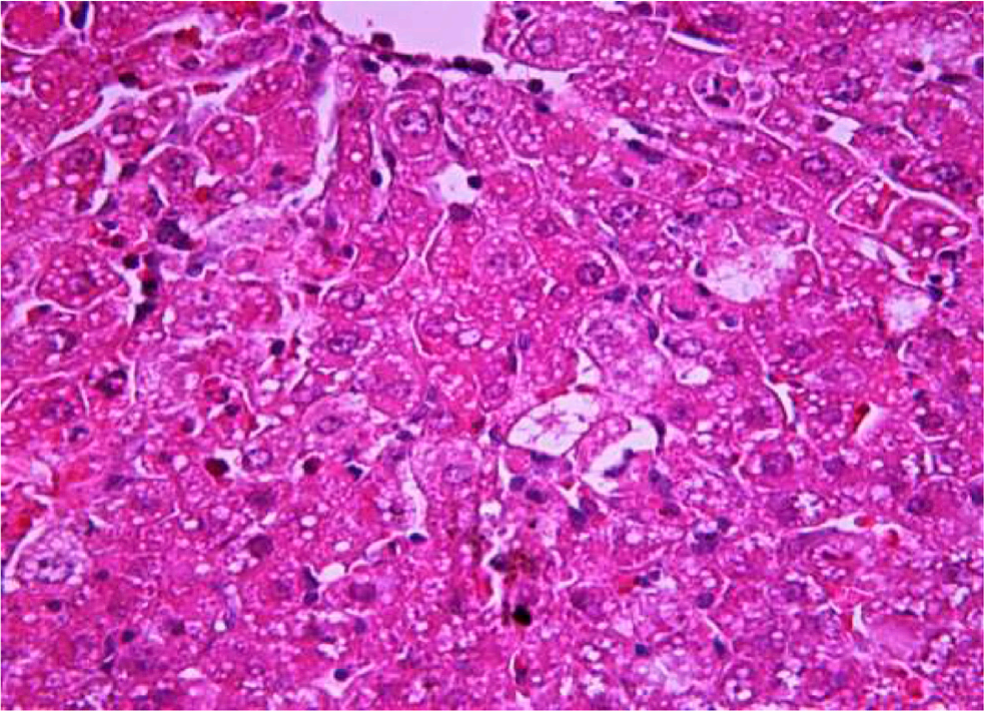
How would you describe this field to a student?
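This is liver tissue made up of hepatocytes arranged in plates that are separated by narrow sinusoids. The hepatocytes are large and polygonal with distinct cell borders. The pink cytoplasm contains many small clear vacuoles, which give it a foamy look. Between the plates run slit-like sinusoids lined by small flattened, dark nuclei, and a few red blood cells lie within them. At the top edge is the clear lumen of a larger vessel, lined by a few small dark cells.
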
